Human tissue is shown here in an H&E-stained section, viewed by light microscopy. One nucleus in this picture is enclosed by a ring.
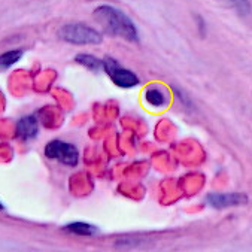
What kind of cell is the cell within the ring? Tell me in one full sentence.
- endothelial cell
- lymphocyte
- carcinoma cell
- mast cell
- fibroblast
As far as its identity is concerned, the cell within the ring is an endothelial cell.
